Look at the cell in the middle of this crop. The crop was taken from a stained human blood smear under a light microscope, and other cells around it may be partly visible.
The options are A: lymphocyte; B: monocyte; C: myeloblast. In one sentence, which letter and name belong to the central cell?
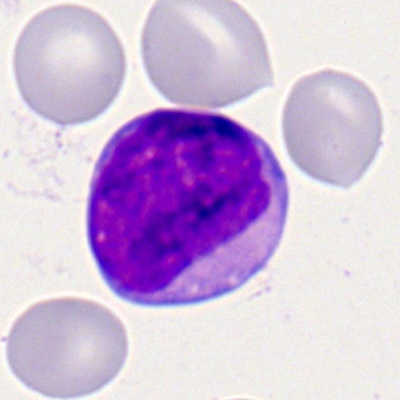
Option C is the keyed answer: the cell in the middle is a myeloblast.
